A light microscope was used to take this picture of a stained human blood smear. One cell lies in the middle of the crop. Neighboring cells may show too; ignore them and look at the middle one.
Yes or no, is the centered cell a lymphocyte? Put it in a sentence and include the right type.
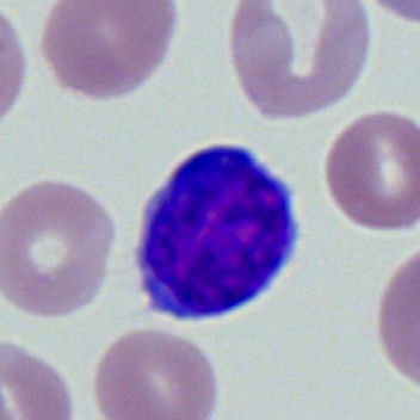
Yes, the centrally placed cell is a lymphocyte.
